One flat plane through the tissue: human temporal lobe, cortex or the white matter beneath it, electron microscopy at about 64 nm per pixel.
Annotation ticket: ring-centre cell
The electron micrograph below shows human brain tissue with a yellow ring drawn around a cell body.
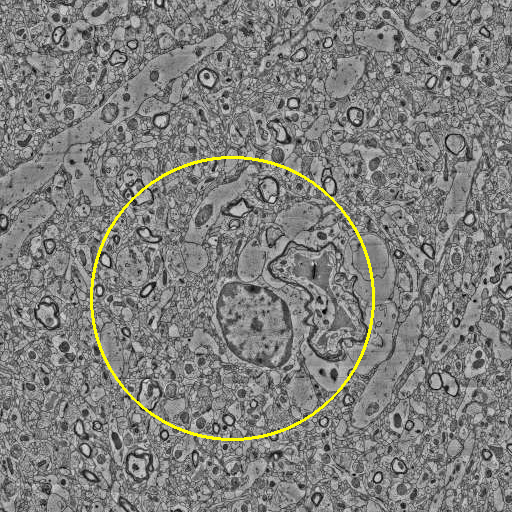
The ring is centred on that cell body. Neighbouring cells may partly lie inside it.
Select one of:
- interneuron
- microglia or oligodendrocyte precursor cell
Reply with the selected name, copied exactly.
microglia or oligodendrocyte precursor cell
